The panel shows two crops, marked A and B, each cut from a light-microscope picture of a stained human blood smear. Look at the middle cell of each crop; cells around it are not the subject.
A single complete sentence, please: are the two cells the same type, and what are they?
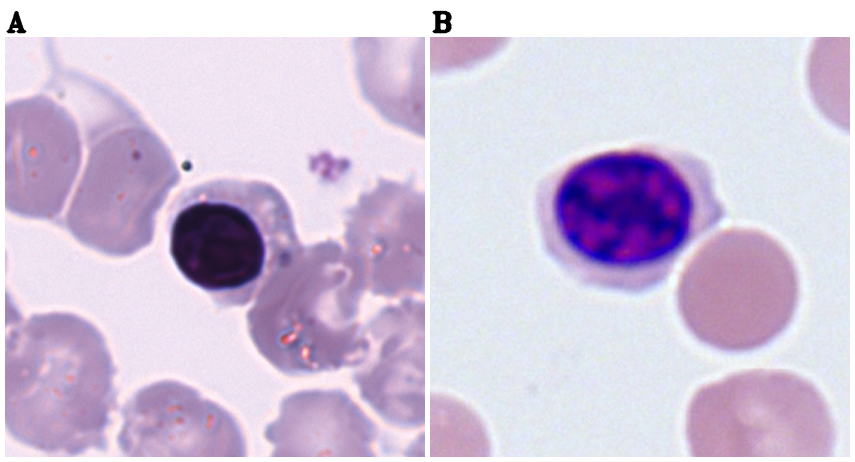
Yes, erythroblasts are shown in both crops.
